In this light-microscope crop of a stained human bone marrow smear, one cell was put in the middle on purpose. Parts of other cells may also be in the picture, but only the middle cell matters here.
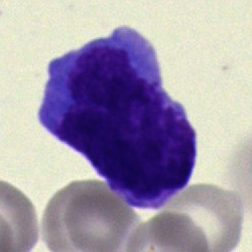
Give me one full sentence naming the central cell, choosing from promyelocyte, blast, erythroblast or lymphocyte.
The middle cell in this particular crop is a blast.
